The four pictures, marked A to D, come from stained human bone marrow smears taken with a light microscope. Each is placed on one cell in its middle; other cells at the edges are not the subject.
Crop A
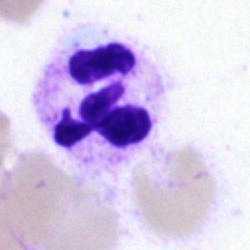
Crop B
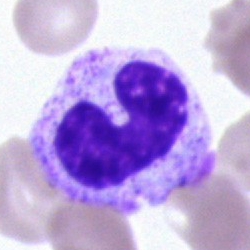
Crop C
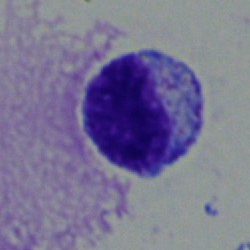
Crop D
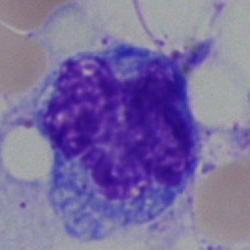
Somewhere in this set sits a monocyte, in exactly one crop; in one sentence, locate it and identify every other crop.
Crop D shows a monocyte, while crop A is a segmented neutrophil, crop B is a band neutrophil and crop C is a myelocyte.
